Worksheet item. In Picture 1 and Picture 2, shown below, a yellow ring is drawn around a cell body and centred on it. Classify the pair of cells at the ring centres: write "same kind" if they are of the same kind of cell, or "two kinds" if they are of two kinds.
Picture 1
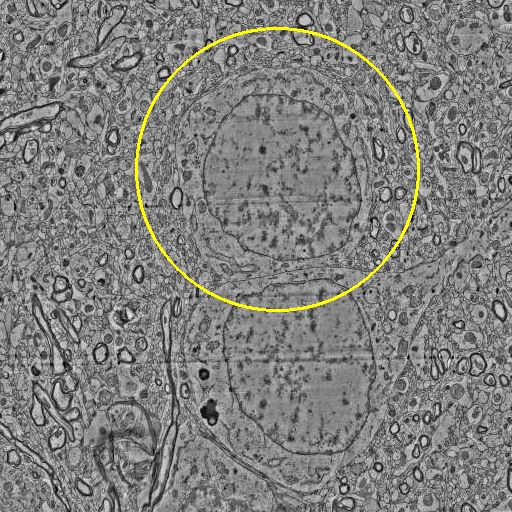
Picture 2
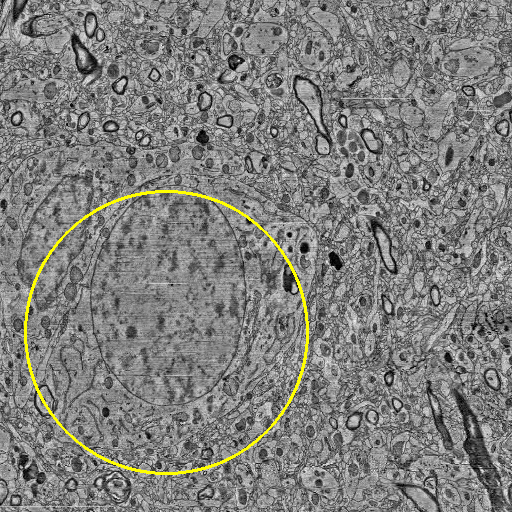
same kind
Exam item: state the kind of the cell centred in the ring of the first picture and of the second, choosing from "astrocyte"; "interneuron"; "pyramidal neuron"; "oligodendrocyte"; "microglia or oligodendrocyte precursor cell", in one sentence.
Each of the two pictures has a pyramidal neuron at the ring centre.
